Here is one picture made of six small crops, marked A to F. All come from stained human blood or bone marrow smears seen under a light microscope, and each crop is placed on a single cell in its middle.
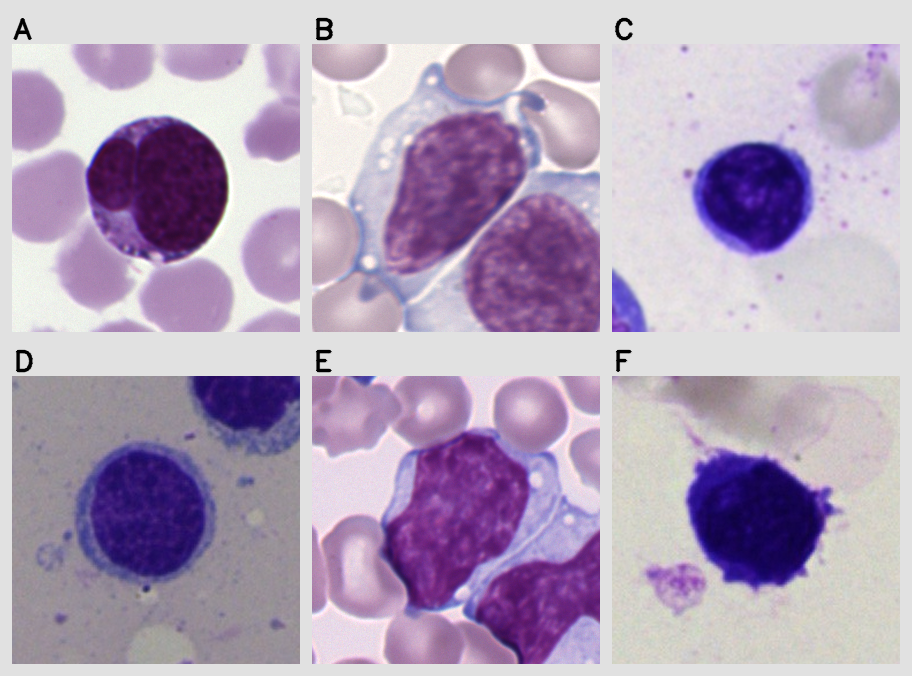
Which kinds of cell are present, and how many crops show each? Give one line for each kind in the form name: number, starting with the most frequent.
blast: 4
lymphocyte: 2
